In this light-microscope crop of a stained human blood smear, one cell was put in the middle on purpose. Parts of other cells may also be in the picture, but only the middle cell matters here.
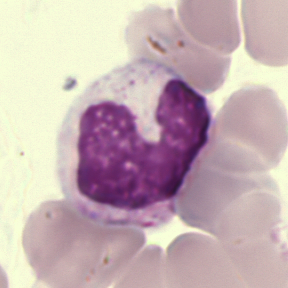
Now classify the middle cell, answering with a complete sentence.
The cell in the exact centre of the crop is a band neutrophil.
